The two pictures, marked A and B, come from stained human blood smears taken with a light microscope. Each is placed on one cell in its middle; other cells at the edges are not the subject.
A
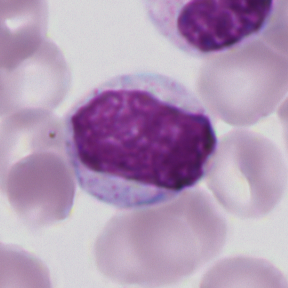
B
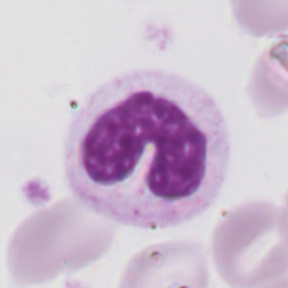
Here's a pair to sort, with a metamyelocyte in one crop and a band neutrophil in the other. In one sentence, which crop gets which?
Crop A is a metamyelocyte, and, separately, crop B is a band neutrophil.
